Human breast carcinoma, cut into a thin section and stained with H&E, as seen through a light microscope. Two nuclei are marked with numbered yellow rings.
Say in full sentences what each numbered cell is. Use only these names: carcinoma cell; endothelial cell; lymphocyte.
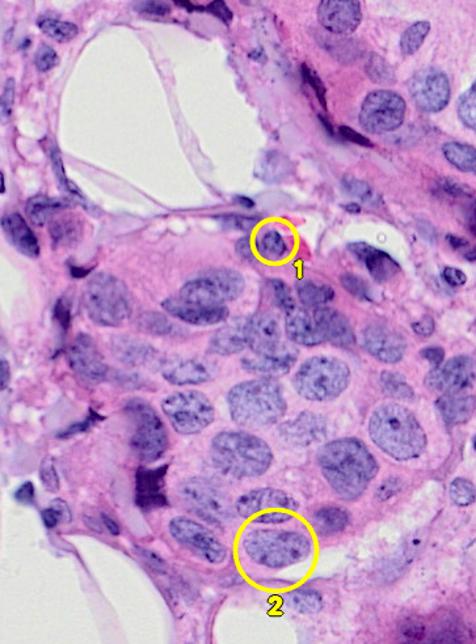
Cell 1 is an endothelial cell and cell 2 is a carcinoma cell.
